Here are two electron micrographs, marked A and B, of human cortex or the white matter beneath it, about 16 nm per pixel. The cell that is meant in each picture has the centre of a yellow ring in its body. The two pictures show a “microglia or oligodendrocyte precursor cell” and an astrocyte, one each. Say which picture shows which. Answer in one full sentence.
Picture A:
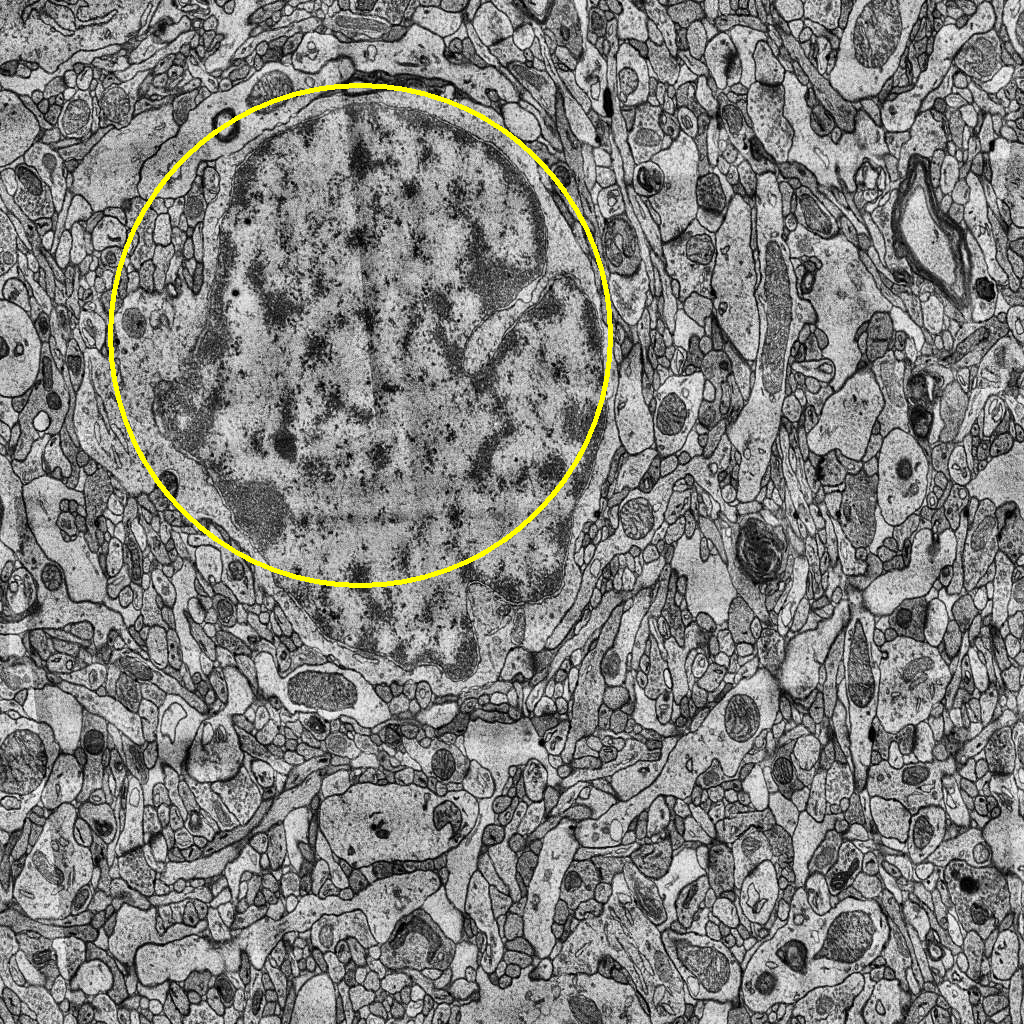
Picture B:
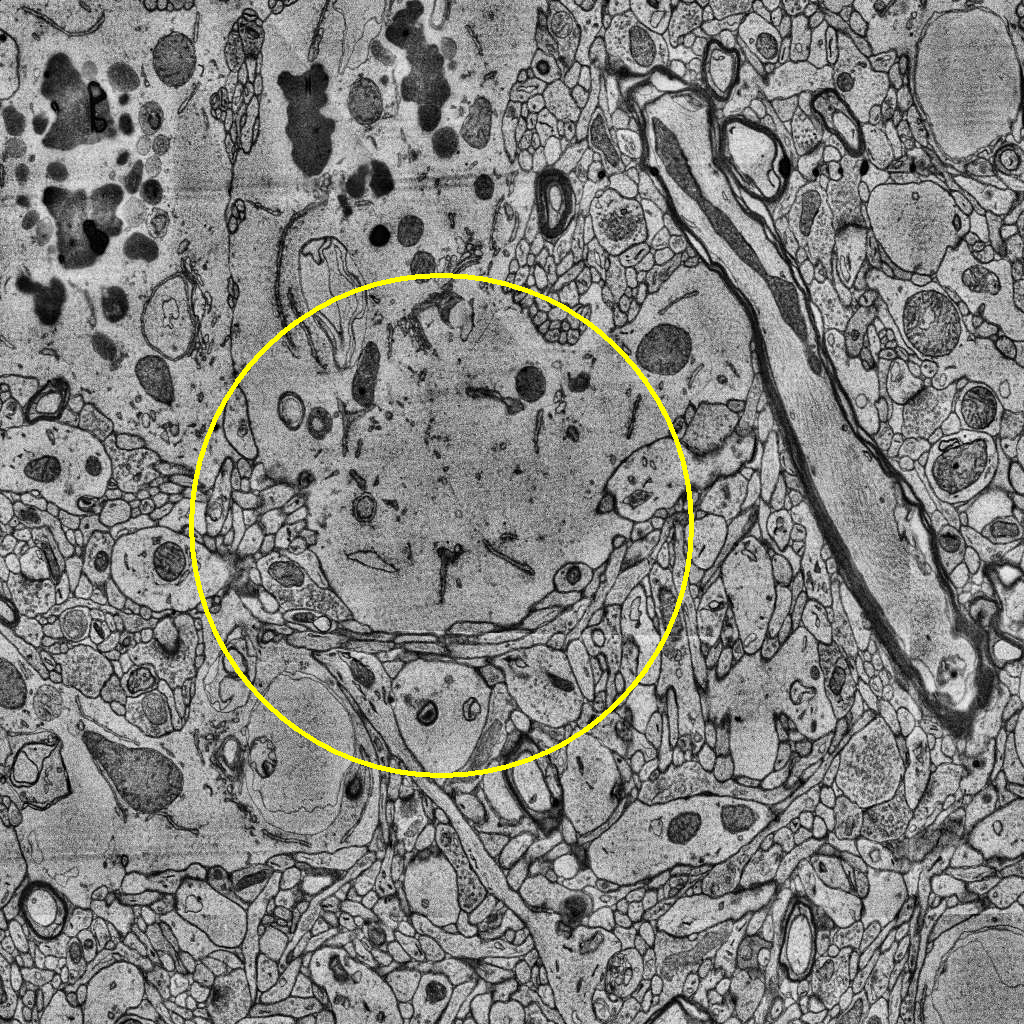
It is picture A that shows a “microglia or oligodendrocyte precursor cell”, and picture B that shows an astrocyte.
